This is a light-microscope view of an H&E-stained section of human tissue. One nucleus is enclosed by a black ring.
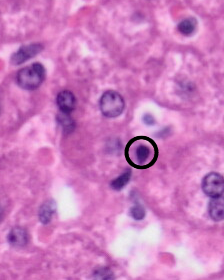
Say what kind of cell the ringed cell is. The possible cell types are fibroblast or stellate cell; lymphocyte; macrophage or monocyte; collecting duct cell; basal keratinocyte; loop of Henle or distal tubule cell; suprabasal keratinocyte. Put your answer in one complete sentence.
For the purposes of cell typing, the ringed cell is categorized as a fibroblast or stellate cell.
